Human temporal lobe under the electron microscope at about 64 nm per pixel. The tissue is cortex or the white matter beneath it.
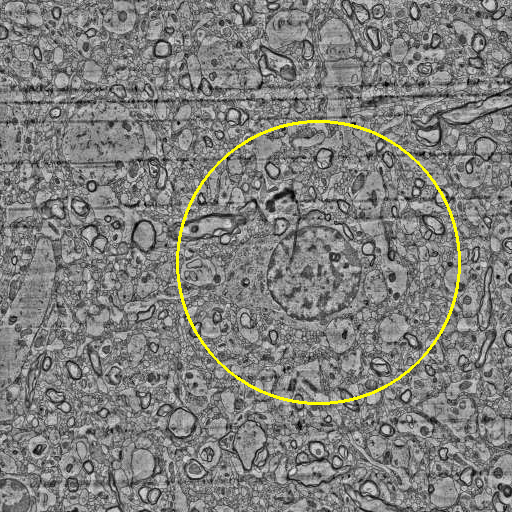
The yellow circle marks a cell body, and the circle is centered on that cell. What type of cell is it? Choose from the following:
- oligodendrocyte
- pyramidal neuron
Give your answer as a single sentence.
This cell body belongs to an oligodendrocyte.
